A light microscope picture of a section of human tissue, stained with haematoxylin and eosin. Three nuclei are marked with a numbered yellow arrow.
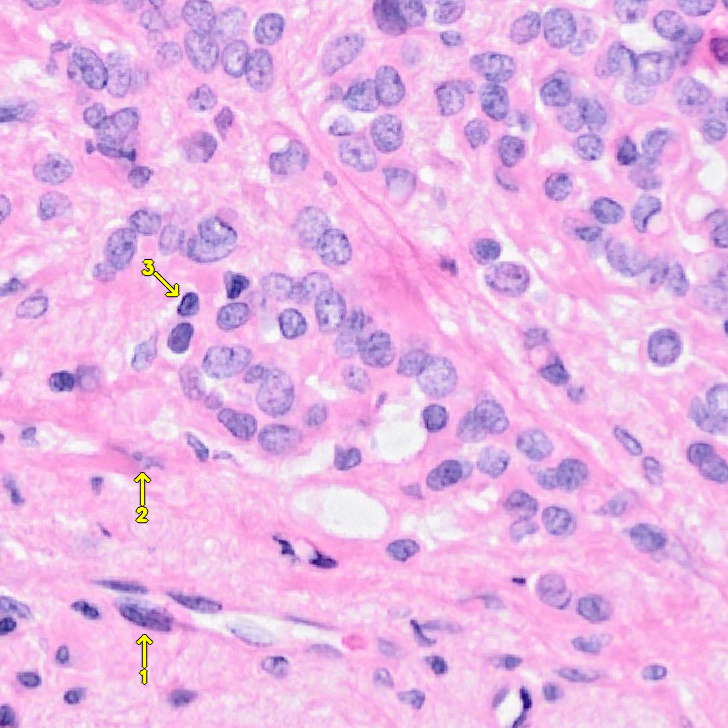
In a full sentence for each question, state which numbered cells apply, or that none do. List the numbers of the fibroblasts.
Among the labelled cells, only the cell labelled 2 is a fibroblast.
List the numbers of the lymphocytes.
Mind that only cell 3 is a lymphocyte, none of the rest.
